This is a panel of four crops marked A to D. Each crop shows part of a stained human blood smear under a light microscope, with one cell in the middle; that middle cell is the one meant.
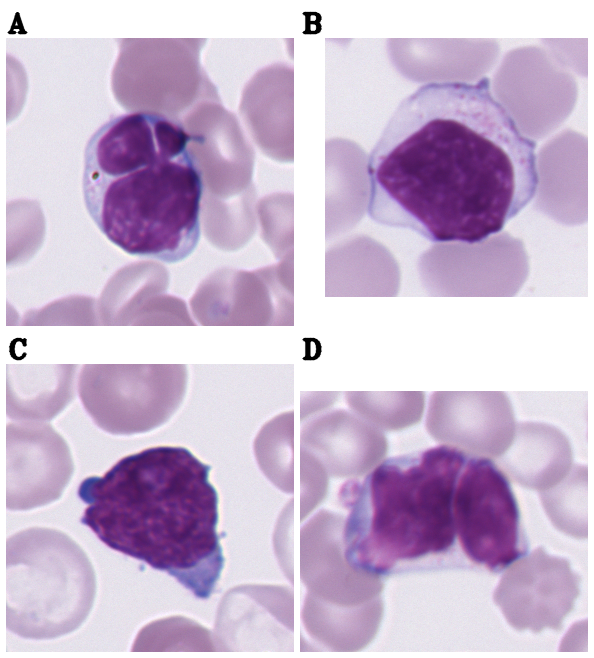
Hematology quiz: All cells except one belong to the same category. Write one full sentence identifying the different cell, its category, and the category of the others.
Crop C alone shows a myeloblast; the other crops are all large granular lymphocytes.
